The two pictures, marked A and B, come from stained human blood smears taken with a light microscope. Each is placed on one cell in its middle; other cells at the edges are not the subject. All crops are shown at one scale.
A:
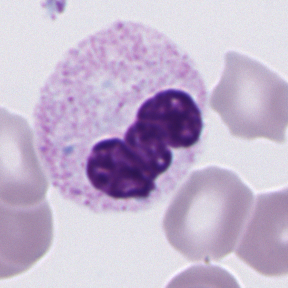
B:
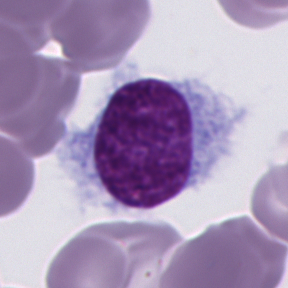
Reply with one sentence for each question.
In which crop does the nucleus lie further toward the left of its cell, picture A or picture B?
Seen within its cell, the nucleus in picture B lies further toward the left.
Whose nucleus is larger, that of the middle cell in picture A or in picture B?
Picture B shows the larger nucleus; it covers about 1.5 times the area of the nucleus in picture A.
